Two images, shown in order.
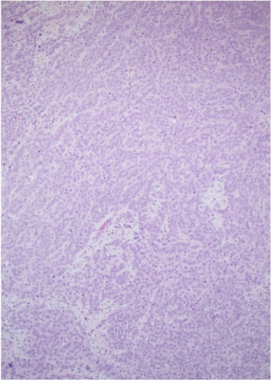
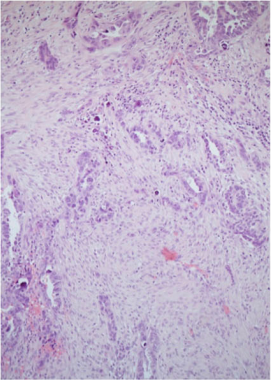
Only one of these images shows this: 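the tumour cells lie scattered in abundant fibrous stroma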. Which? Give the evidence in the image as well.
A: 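The second image. First image: sheets of densely packed tumour cells fill the field with little intervening stroma. Second image: pale pink spindle-cell stroma dominates, with only small scattered tumour glands and clusters.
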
